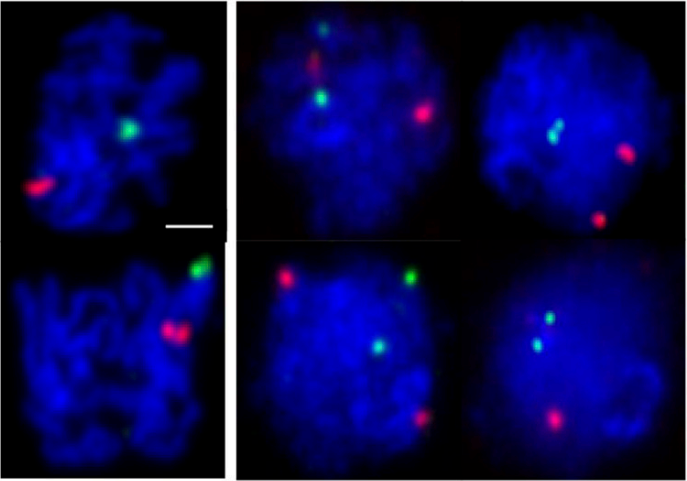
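In some of them the chromatin looks like tangled threads, while in others it is a more even, diffuse blue cloud. Within each nucleus there are a few small, bright, discrete dots, some green and some red. In some nuclei a single green dot or a single red dot is seen, or two dots of a colour sit almost touching, whereas in others two dots of the same colour lie well apart from each other. The dots are small points against the much larger chromatin mass, showing single marked places on the chromosomes rather than whole chromosomes.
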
